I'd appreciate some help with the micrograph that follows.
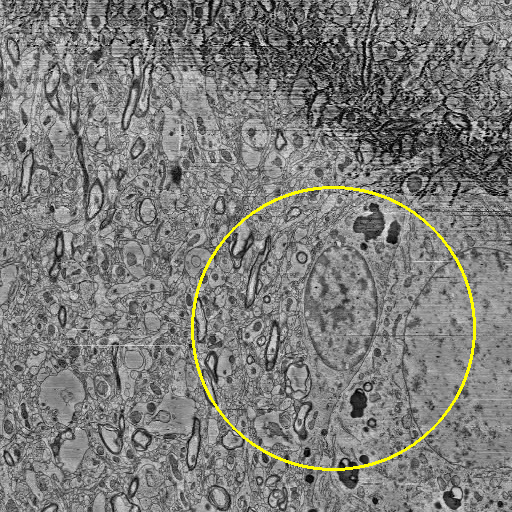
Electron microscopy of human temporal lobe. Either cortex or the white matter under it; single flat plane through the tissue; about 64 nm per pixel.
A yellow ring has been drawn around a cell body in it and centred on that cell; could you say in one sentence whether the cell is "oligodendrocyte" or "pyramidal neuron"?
It is an oligodendrocyte at the centre of the ring.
